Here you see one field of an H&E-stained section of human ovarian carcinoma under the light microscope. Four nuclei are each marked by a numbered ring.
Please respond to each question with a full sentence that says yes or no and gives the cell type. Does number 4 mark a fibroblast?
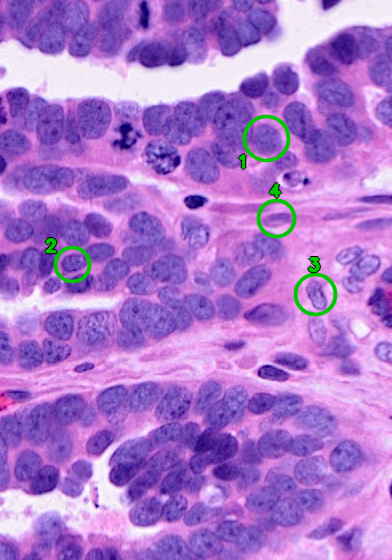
Yes, what number 4 marks is a fibroblast.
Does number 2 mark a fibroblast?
No, number 2 marks a carcinoma cell rather than a fibroblast.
